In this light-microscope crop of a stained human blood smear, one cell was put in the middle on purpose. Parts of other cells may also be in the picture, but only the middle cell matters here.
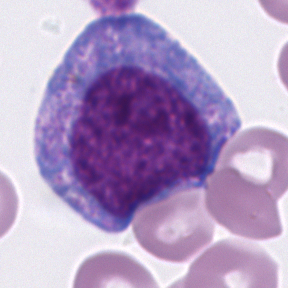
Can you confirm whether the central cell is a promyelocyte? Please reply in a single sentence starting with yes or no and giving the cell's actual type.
Yes, within this crop, the central cell is a promyelocyte.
